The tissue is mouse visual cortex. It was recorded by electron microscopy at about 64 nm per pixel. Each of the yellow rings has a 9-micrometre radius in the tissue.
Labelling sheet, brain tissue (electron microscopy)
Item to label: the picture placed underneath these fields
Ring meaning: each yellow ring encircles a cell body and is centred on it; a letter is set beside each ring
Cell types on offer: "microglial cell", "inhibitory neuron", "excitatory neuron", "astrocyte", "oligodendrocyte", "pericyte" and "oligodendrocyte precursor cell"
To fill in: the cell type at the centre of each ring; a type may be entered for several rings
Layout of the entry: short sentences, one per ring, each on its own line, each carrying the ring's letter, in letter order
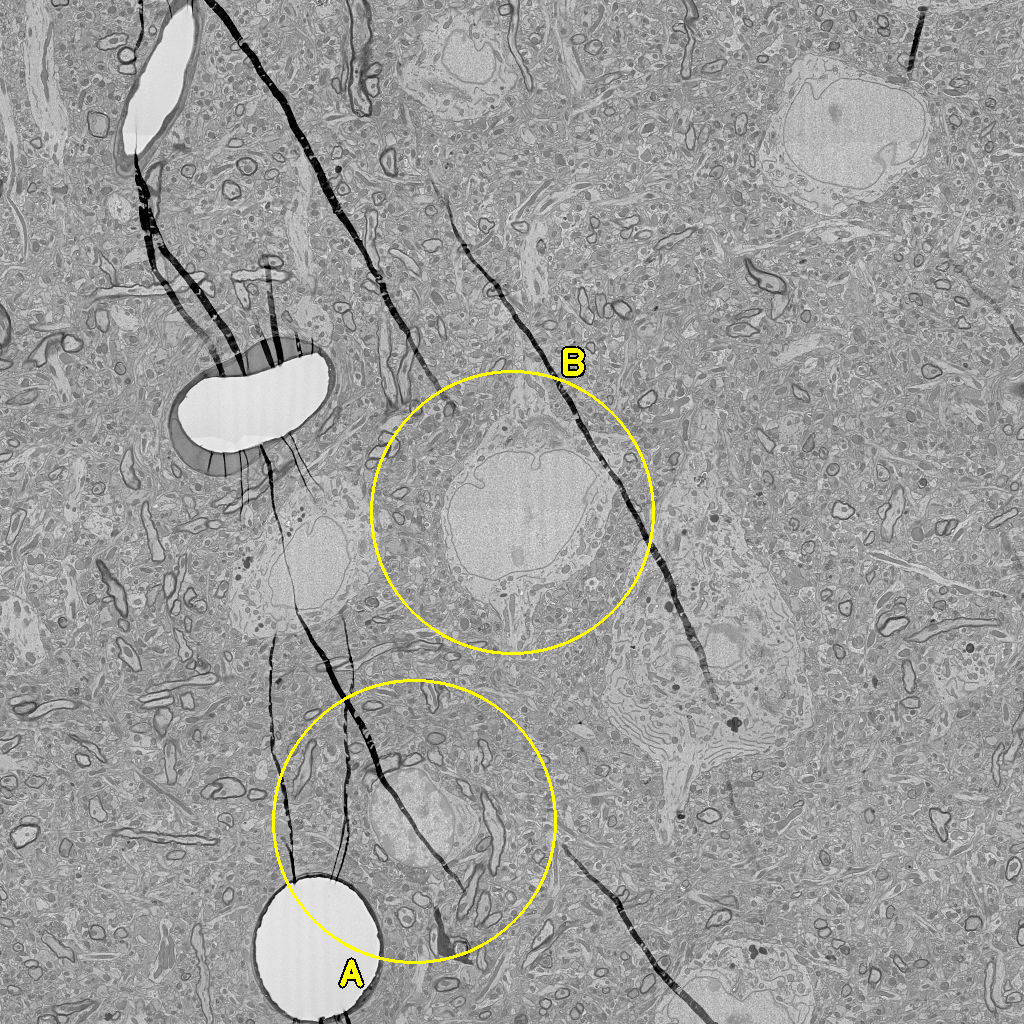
Ring A encircles the body of an oligodendrocyte.
Ring B encircles the body of an excitatory neuron.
